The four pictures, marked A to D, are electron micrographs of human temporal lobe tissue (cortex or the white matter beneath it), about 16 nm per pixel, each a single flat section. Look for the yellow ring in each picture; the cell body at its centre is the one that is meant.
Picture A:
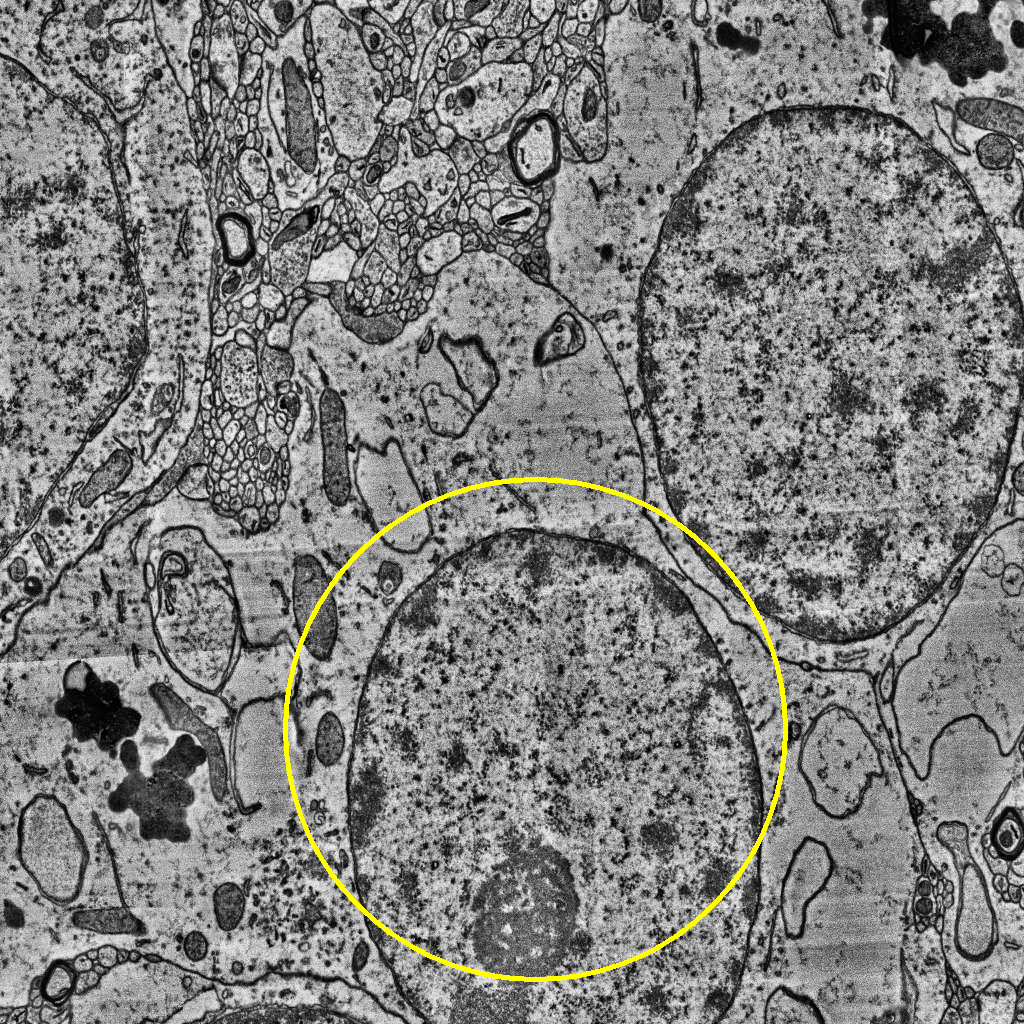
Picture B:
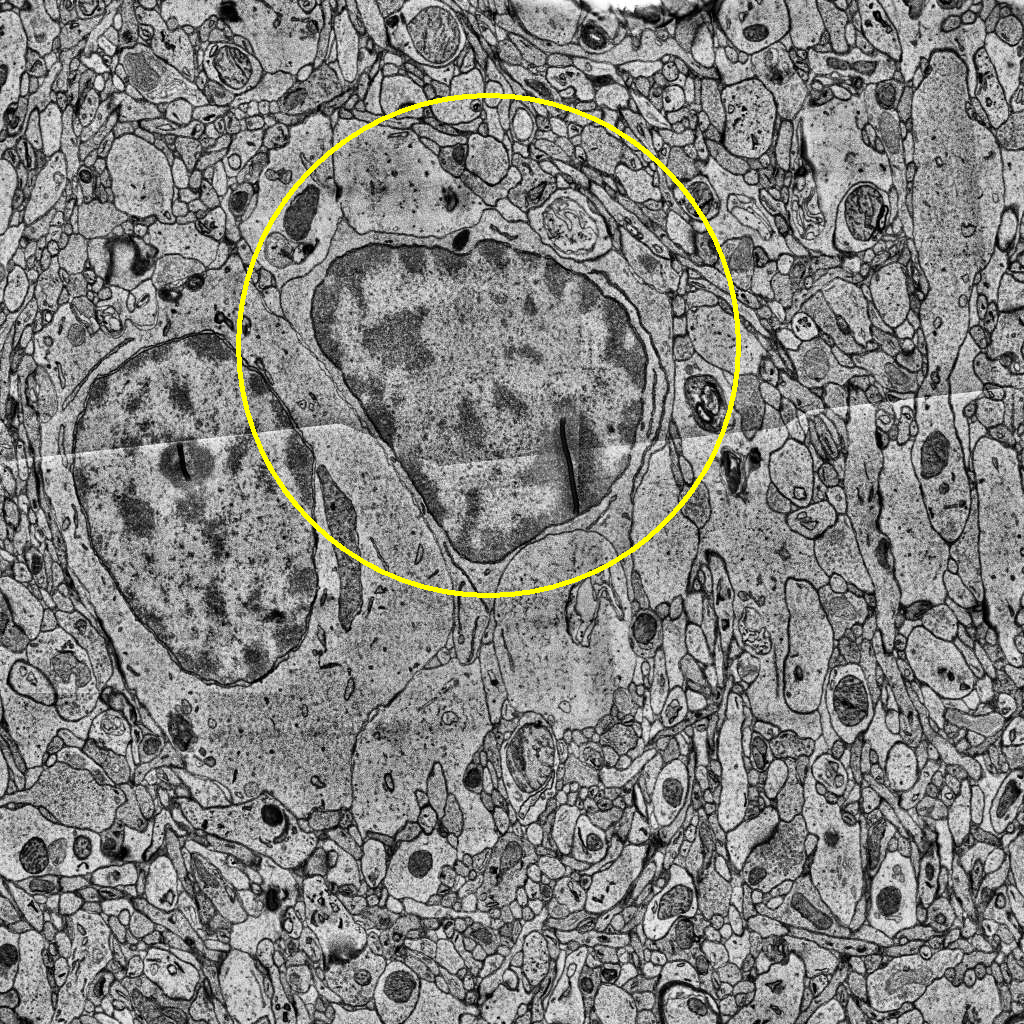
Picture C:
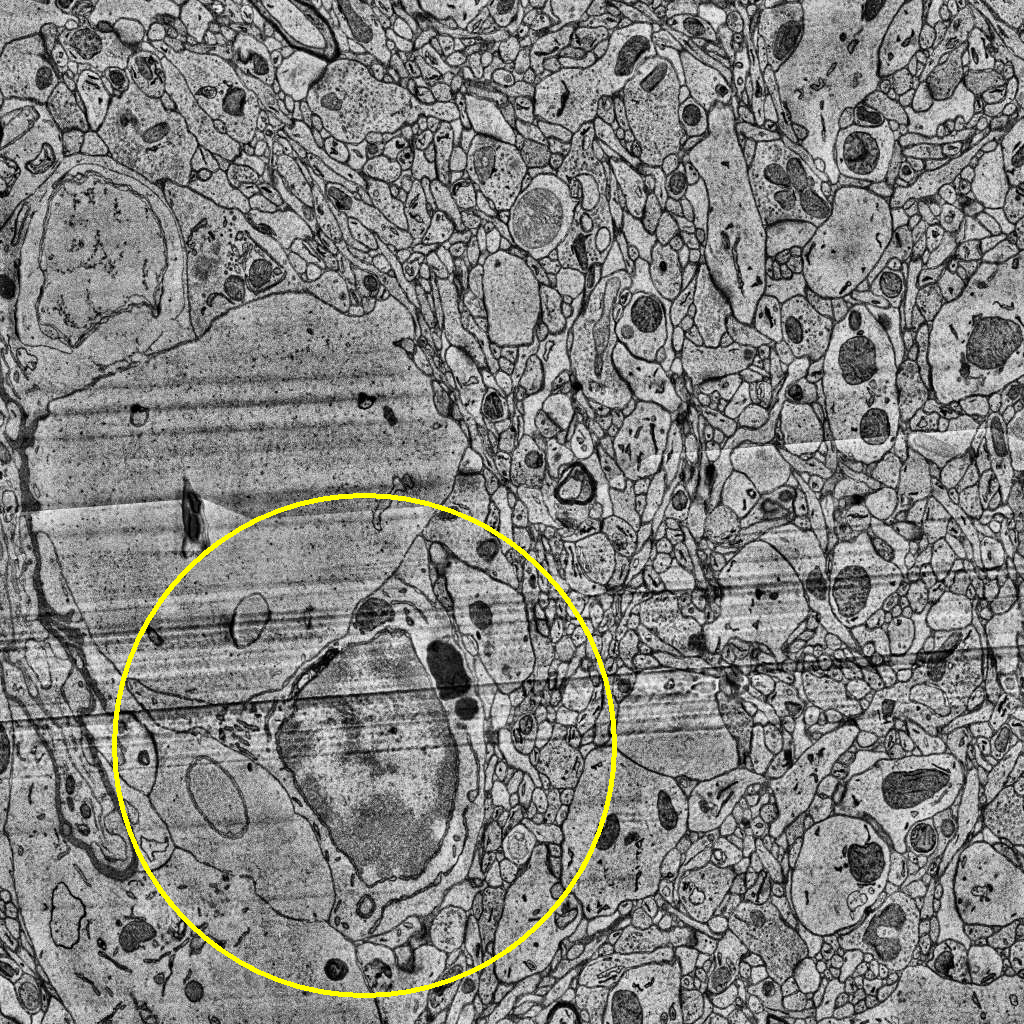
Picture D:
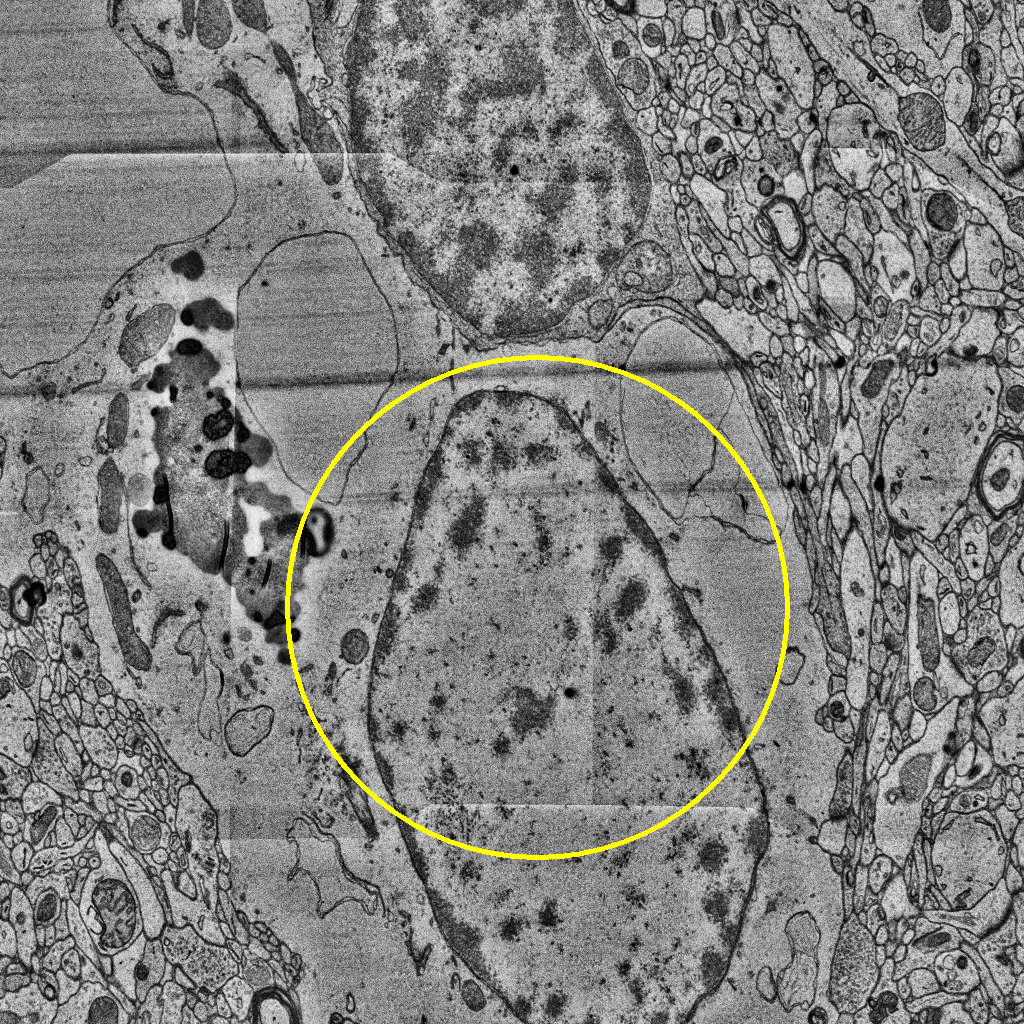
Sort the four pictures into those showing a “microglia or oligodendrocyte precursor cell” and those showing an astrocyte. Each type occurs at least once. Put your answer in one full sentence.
Pictures B and C show “microglia or oligodendrocyte precursor cells”, and pictures A and D show astrocytes.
